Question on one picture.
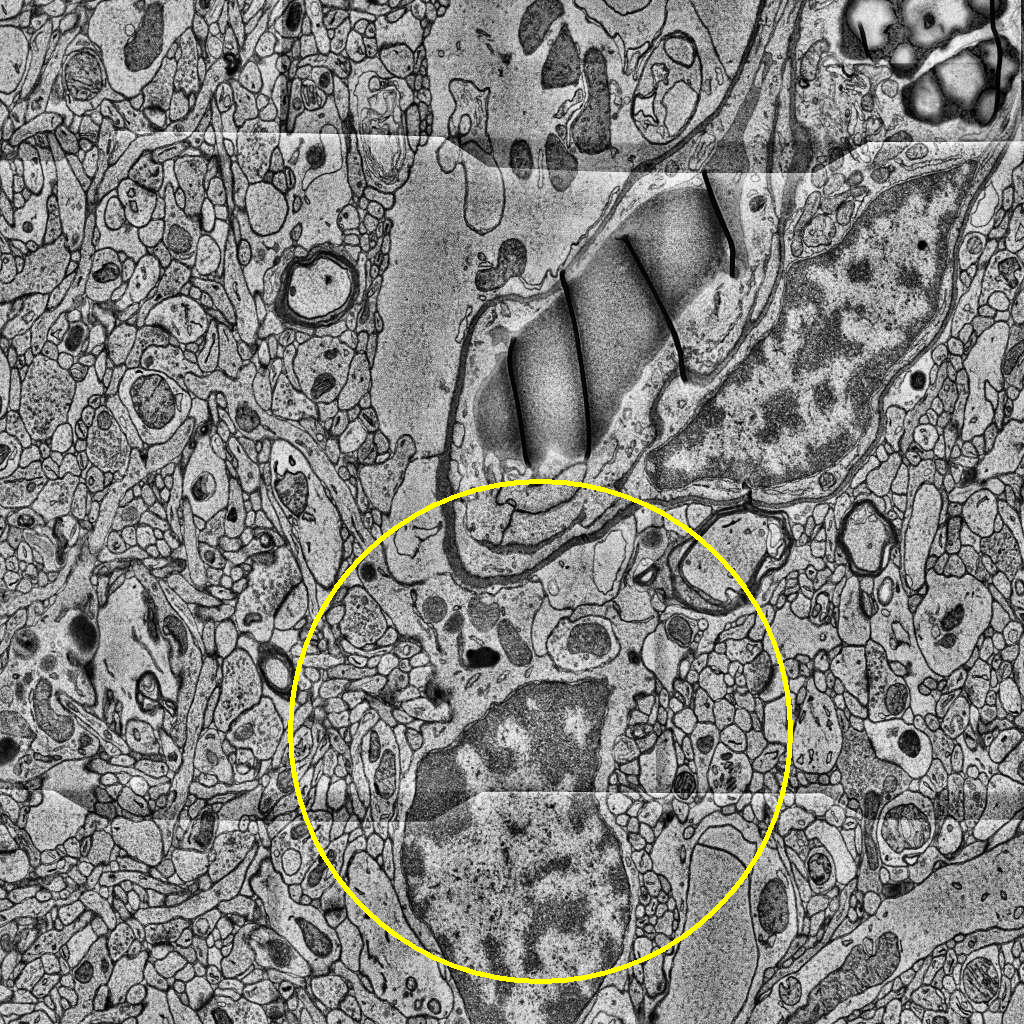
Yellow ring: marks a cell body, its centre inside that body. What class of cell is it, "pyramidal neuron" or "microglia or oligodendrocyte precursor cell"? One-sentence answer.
This is a microglial cell or oligodendrocyte precursor cell, the cell at the ring's centre.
